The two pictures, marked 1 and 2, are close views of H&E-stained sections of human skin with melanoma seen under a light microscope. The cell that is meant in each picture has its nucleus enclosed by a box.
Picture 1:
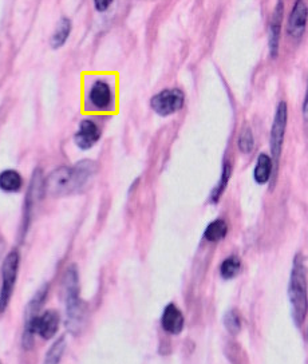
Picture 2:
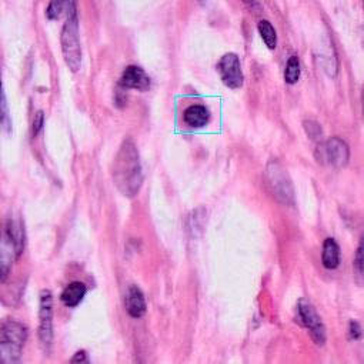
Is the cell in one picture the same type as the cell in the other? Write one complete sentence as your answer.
Yes, both cells are plasma cells.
